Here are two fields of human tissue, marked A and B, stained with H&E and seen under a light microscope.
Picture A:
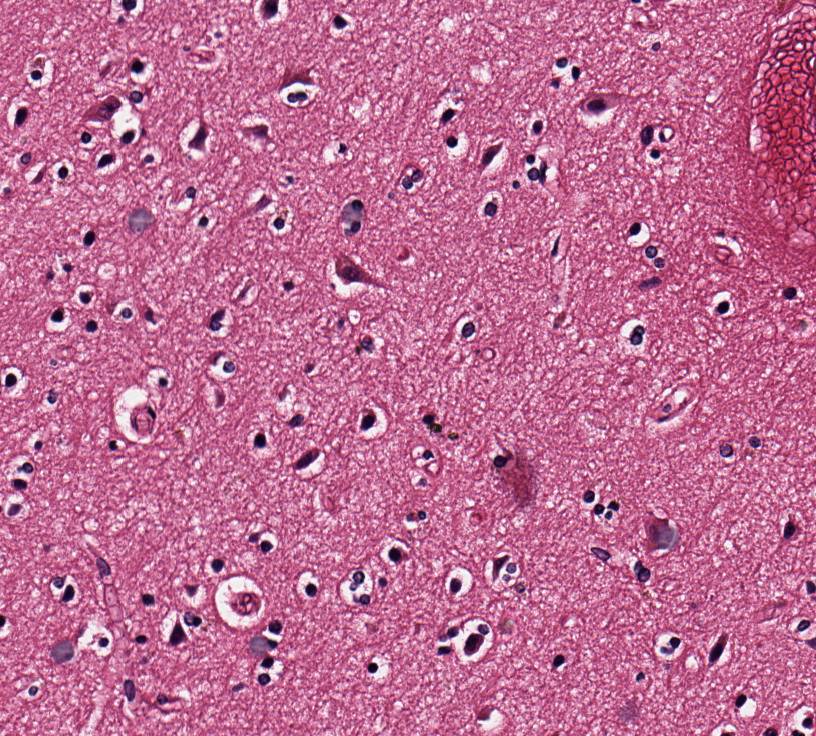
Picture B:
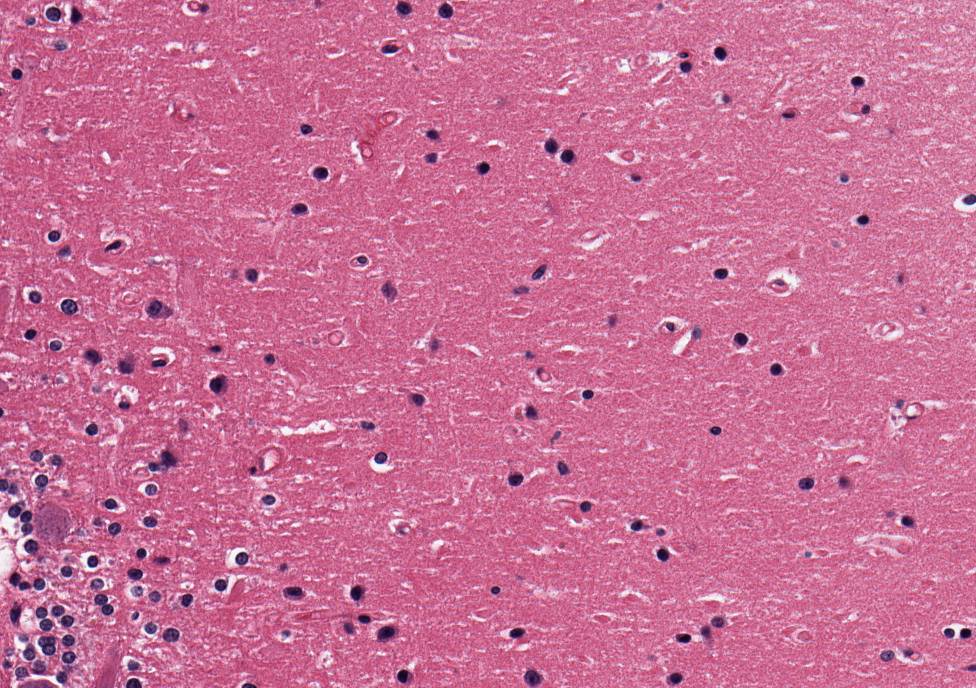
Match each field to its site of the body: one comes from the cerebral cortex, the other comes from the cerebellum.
A: cerebral cortex
B: cerebellum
